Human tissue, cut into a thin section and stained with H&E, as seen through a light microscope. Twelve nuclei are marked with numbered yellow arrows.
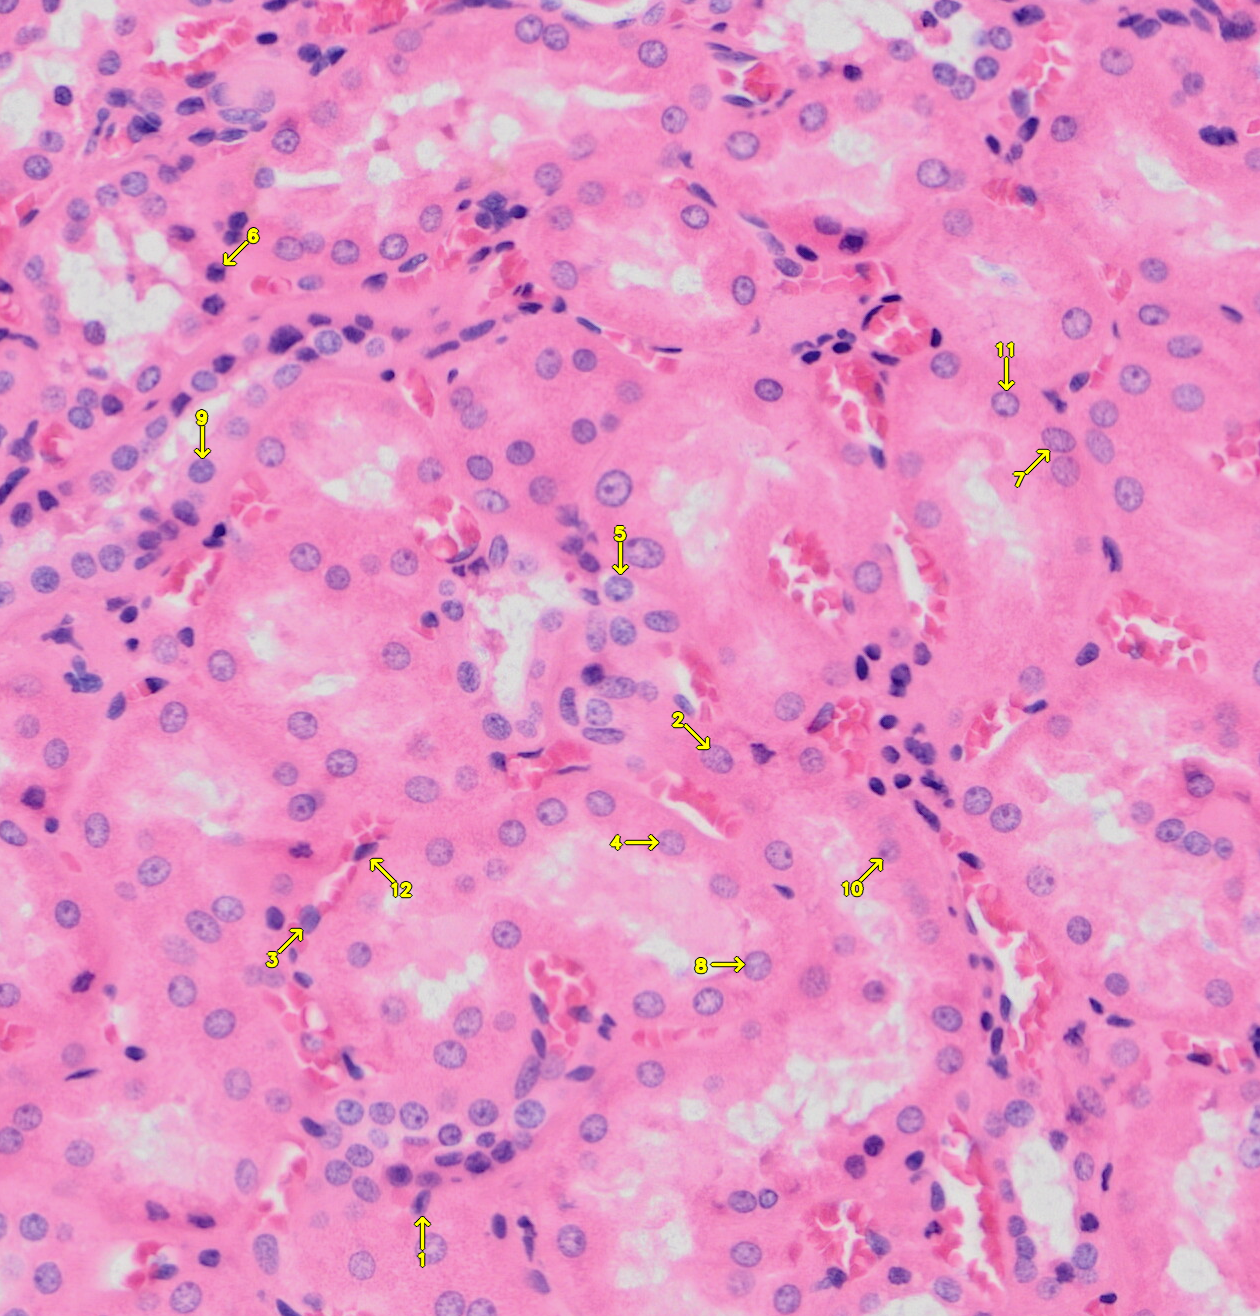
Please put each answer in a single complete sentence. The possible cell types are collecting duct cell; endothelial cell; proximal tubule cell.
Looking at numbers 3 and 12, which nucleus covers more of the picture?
Number 3 is larger; its area is about 2 times that of number 12.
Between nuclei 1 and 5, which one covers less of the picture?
The smaller nucleus is 1, and 5 covers roughly 2 times its area.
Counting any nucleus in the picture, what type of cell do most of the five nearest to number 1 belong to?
Most of the five nuclei nearest to number 1 are those of collecting duct cells.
